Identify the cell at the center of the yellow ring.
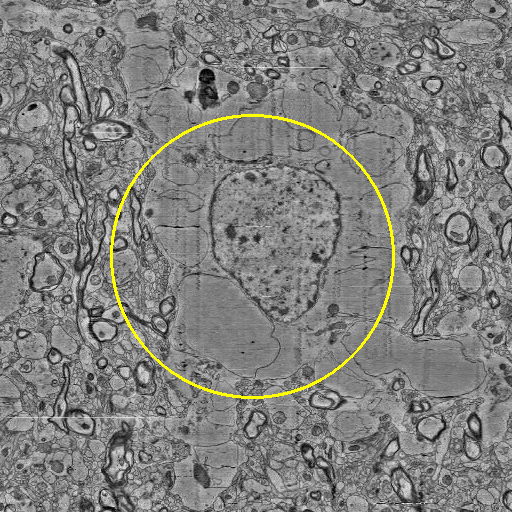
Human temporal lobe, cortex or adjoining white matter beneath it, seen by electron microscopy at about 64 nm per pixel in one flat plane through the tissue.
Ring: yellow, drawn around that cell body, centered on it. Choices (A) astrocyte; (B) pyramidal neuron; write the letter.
A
